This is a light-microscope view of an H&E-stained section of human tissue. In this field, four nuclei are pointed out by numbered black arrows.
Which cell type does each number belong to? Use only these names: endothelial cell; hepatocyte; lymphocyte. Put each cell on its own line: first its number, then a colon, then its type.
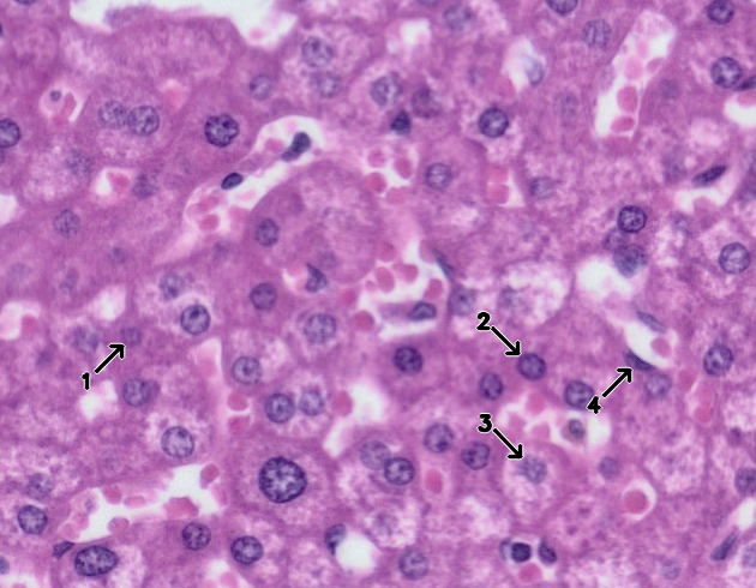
1: hepatocyte
2: hepatocyte
3: hepatocyte
4: endothelial cell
